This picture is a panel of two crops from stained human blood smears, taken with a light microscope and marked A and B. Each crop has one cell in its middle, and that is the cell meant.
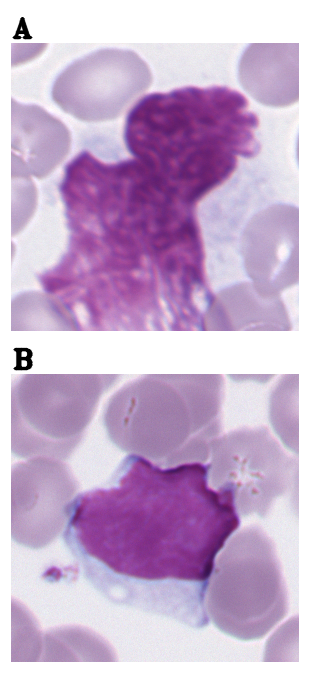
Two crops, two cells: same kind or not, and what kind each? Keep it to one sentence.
No, the cell shown in crop A is a smudge cell, and the cell shown in crop B is a typical lymphocyte.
